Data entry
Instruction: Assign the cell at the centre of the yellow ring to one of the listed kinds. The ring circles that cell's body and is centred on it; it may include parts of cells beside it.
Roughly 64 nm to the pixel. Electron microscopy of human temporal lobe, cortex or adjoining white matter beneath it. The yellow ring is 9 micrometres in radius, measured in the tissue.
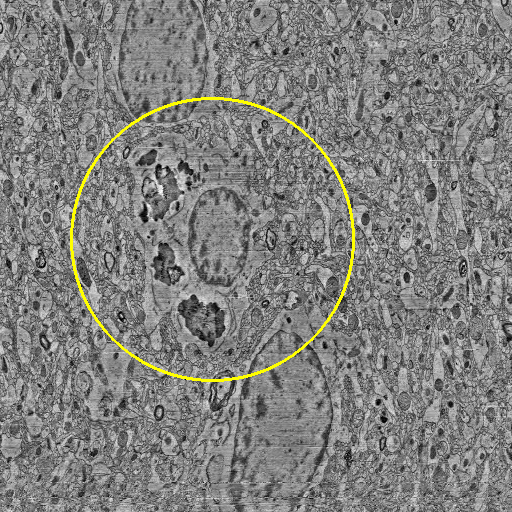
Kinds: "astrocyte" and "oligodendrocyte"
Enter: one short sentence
The centre of the ring falls on an astrocyte.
